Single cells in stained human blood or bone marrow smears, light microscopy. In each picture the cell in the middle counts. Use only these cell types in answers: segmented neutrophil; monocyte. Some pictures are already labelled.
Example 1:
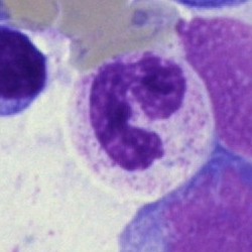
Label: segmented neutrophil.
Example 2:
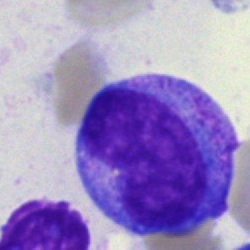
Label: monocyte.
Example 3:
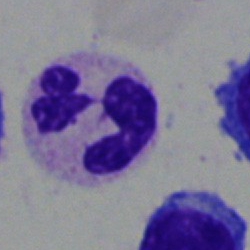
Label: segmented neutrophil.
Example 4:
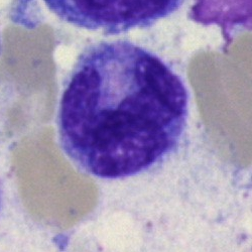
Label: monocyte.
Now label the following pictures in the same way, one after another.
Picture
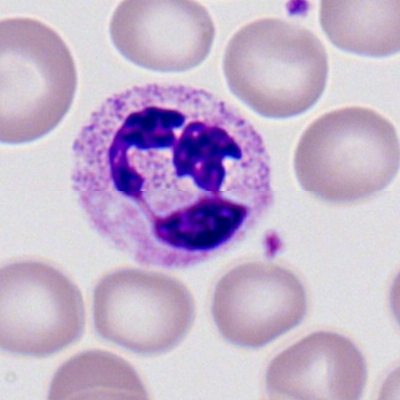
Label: segmented neutrophil.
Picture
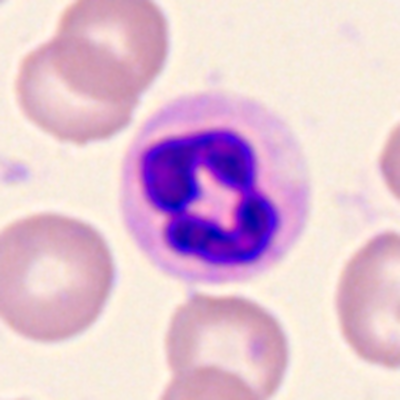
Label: segmented neutrophil.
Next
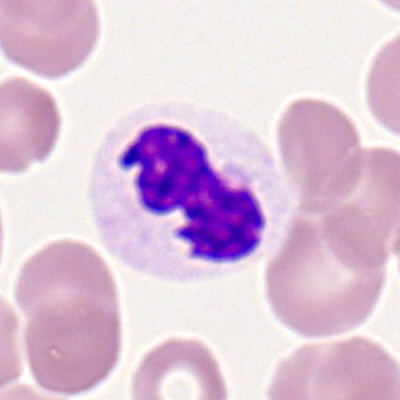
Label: segmented neutrophil.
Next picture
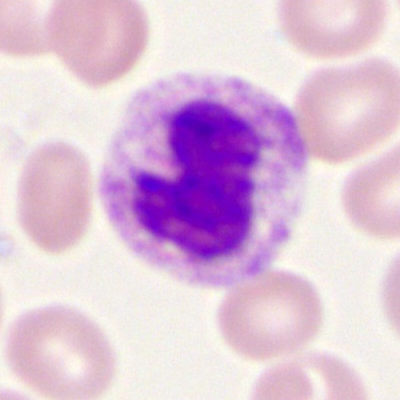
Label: segmented neutrophil.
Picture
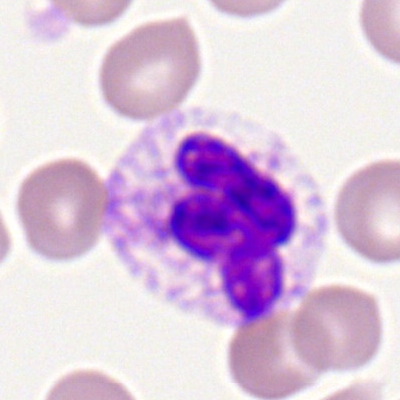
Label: segmented neutrophil.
